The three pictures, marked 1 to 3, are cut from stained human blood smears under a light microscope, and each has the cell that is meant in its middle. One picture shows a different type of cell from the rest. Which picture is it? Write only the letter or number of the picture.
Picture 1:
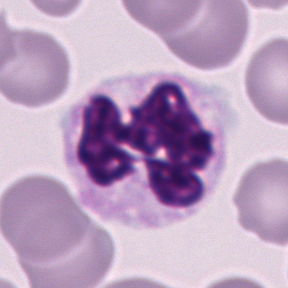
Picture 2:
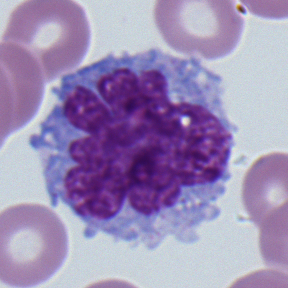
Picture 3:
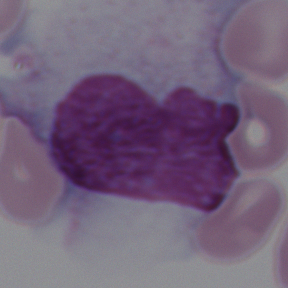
1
